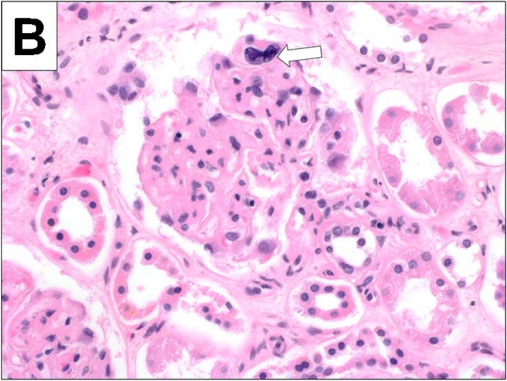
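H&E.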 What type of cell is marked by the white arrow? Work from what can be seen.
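Megakaryocyte. The arrow marks a cell with a large, dark, lobed nucleus. This cell sits within a glomerulus, much larger-nucleated than neighbouring cells.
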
